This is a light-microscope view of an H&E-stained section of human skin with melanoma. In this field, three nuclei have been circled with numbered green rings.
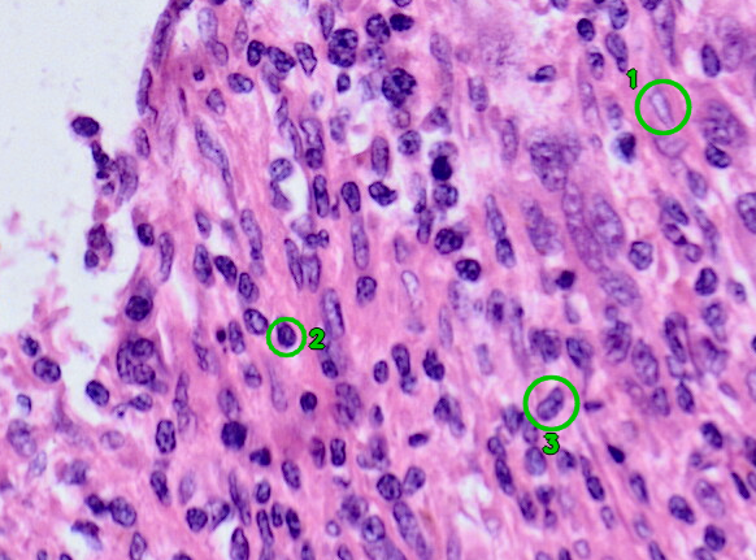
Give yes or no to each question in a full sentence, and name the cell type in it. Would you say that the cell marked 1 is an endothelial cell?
Yes, number 1 in this section denotes an endothelial cell.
